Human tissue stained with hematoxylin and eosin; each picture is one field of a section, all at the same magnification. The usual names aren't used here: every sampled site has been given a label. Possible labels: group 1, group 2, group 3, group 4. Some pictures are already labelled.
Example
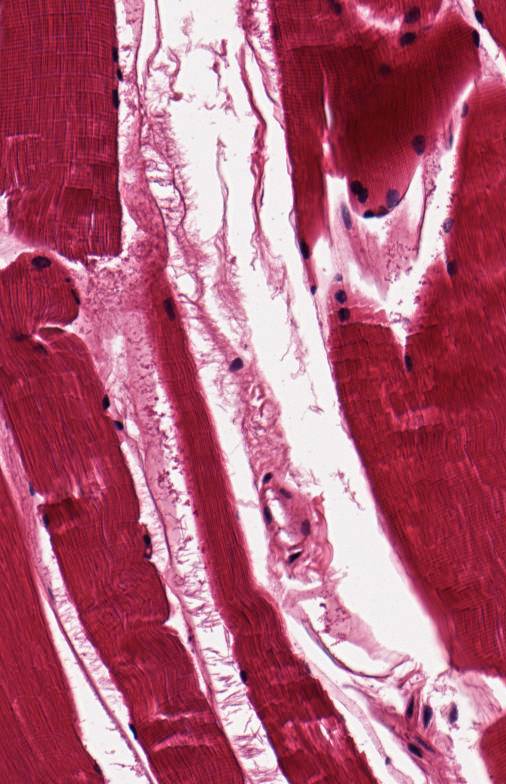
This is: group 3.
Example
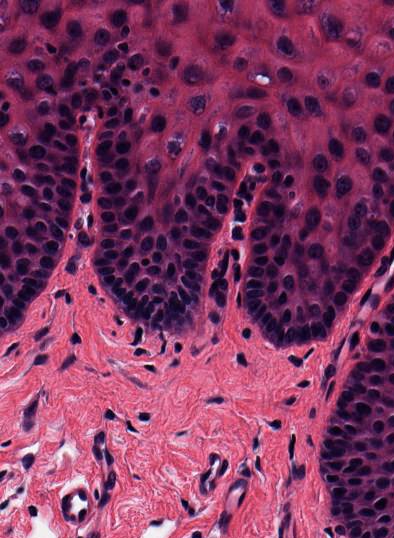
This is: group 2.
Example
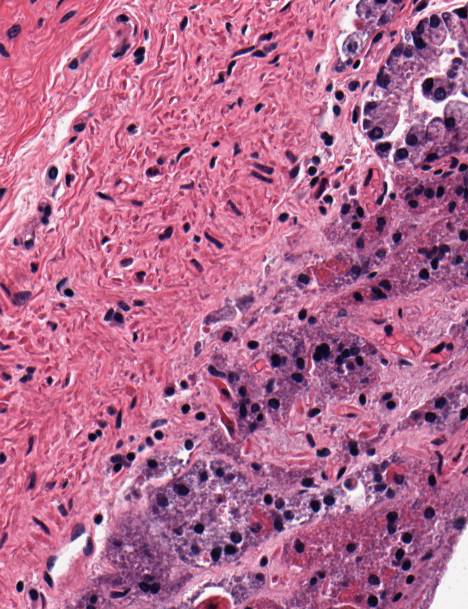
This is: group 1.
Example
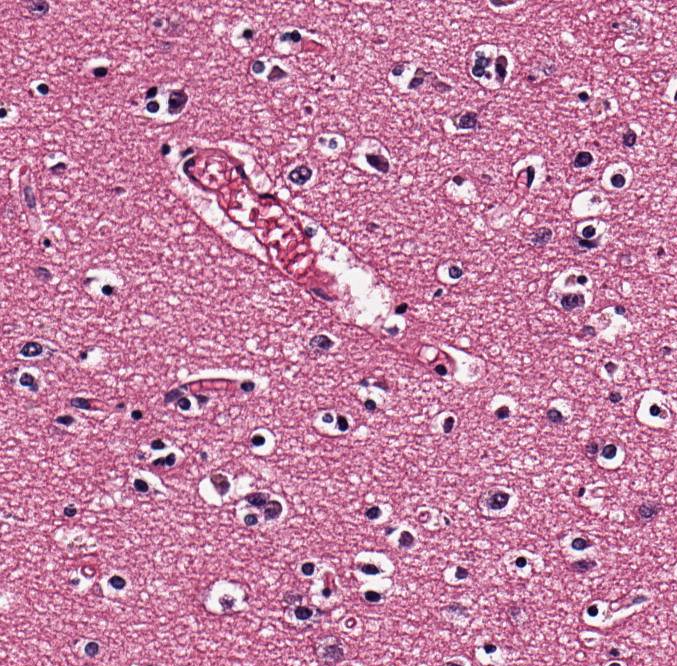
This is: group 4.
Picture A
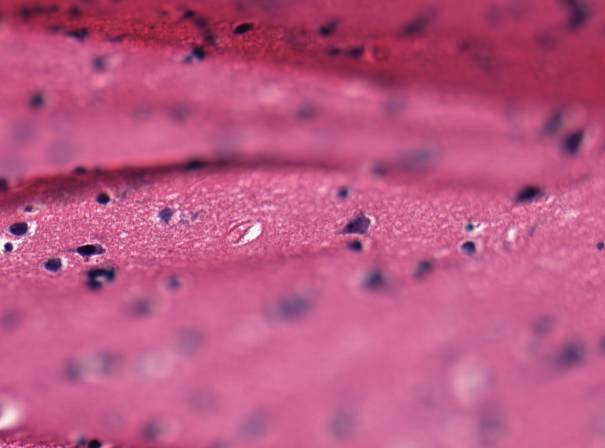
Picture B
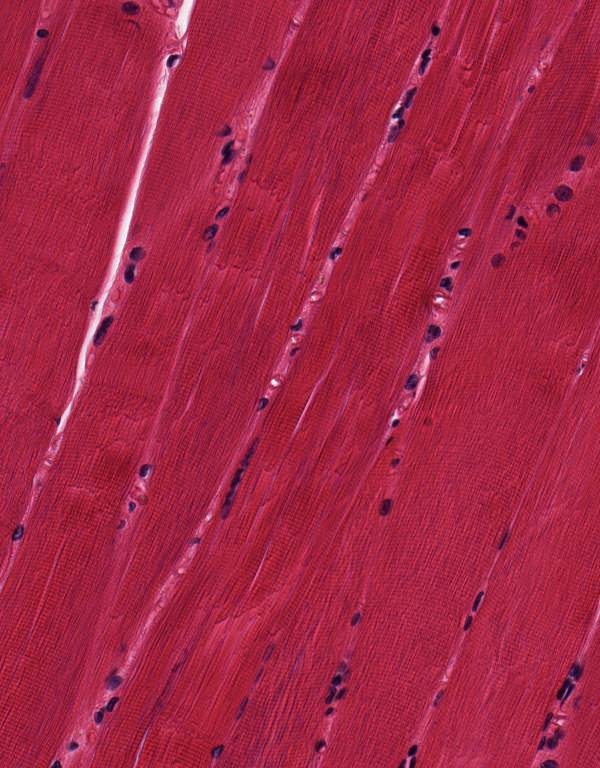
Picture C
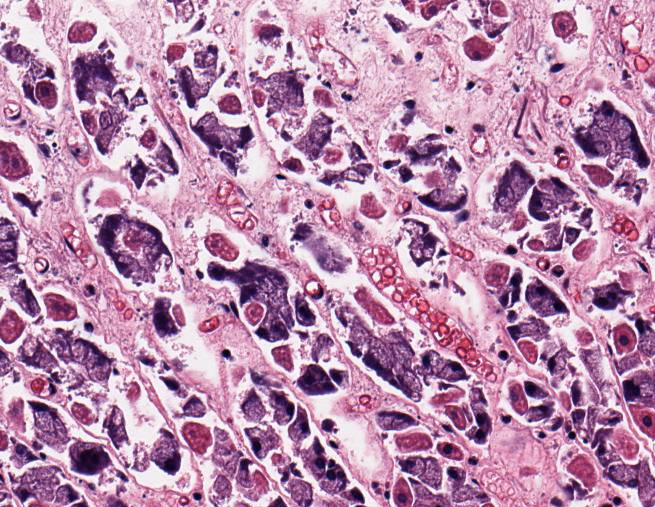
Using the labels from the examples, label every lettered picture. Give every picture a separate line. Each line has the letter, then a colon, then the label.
A: group 4.
B: group 3.
C: group 1.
